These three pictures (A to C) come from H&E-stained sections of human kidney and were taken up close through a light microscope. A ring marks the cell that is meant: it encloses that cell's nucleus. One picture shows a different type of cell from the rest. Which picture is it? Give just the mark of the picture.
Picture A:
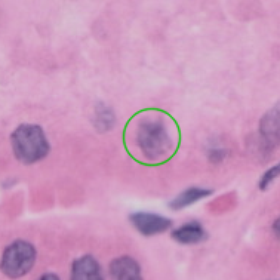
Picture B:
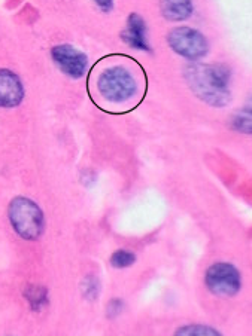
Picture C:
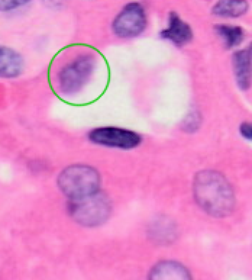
A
